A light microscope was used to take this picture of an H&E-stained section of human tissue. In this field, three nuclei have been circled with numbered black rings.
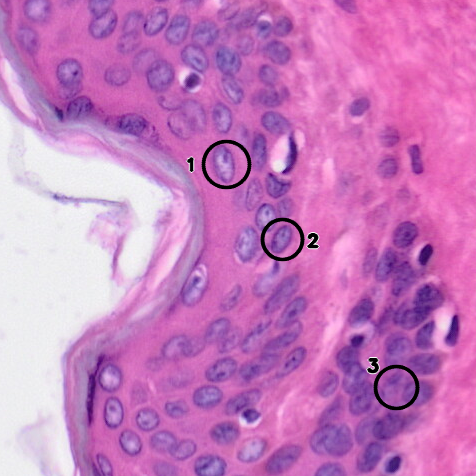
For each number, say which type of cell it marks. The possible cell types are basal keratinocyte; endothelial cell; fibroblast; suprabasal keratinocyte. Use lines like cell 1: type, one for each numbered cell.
cell 1: suprabasal keratinocyte
cell 2: basal keratinocyte
cell 3: basal keratinocyte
